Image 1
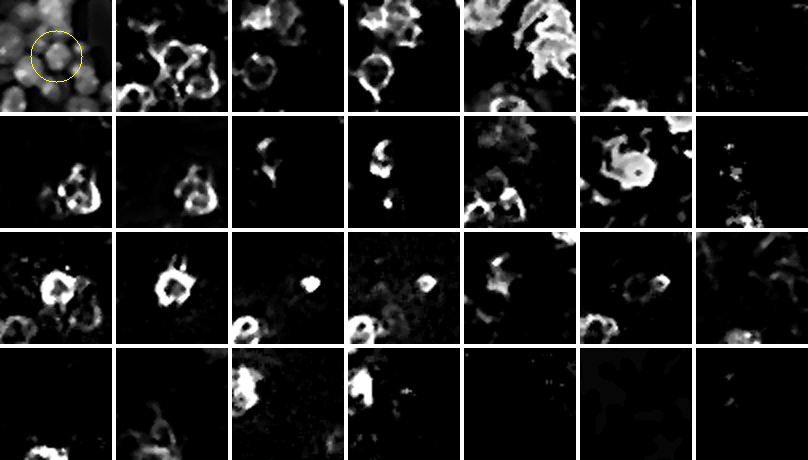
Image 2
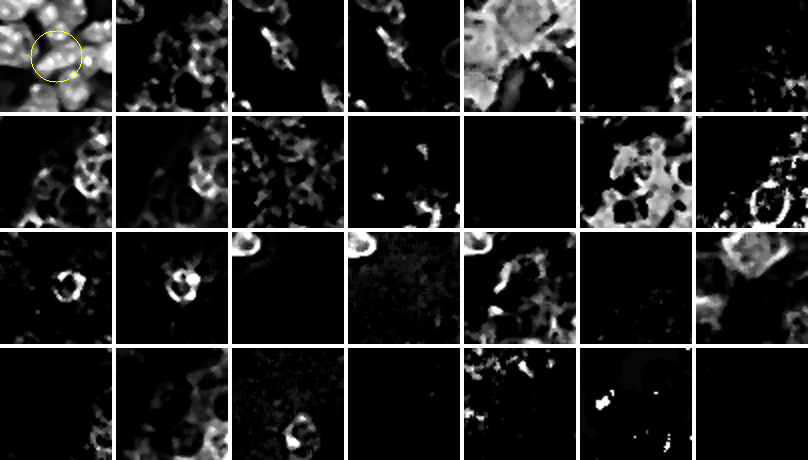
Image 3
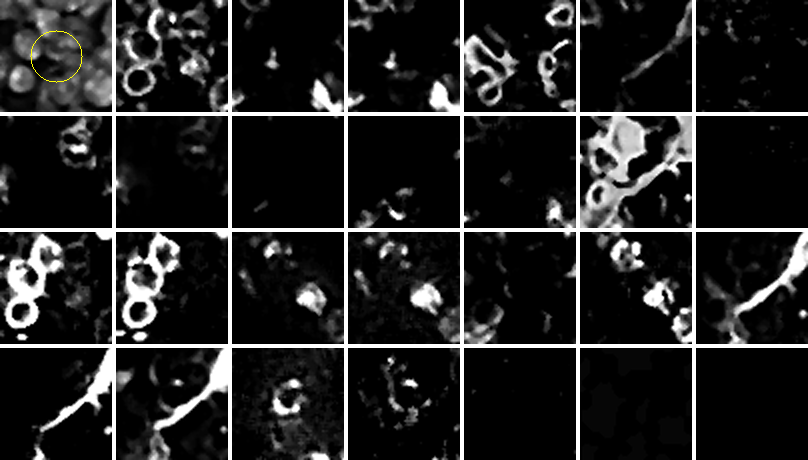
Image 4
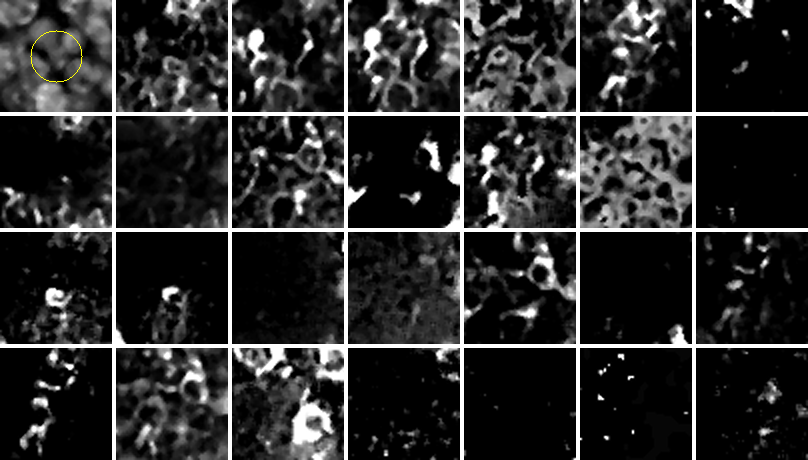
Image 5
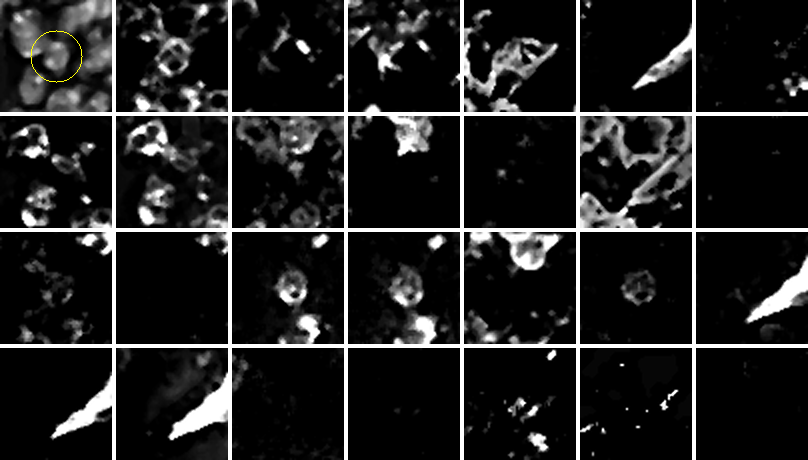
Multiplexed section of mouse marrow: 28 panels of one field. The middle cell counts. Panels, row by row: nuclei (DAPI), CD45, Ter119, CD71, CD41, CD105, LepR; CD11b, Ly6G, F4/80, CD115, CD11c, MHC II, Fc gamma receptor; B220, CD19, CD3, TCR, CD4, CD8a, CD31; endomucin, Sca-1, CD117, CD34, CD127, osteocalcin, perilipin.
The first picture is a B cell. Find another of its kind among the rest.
Picture 2.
